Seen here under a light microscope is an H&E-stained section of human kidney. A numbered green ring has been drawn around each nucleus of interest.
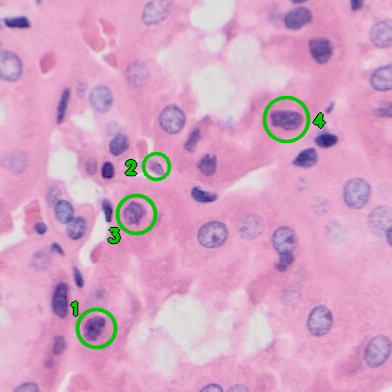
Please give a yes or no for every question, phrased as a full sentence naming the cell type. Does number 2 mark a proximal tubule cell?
No, cell 2 should be read as an endothelial cell instead of a proximal tubule cell.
